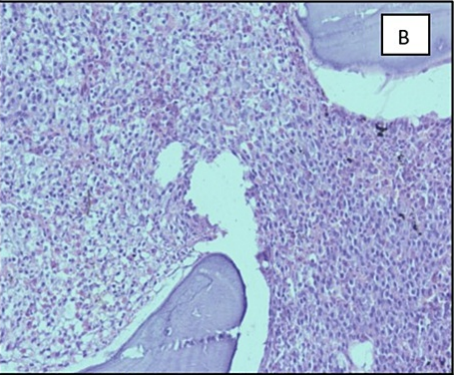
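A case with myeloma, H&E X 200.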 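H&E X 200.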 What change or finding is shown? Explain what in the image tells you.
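Dense sheets of cells fill the space between bone trabeculae. Few or no fat spaces are left in the marrow. The cells are fairly uniform with round nuclei. So: Diffuse infiltration of marrow by plasma cells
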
